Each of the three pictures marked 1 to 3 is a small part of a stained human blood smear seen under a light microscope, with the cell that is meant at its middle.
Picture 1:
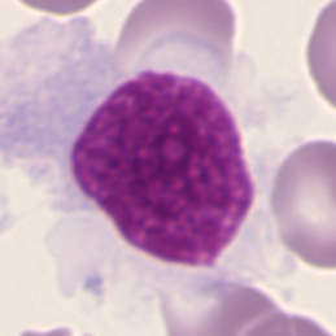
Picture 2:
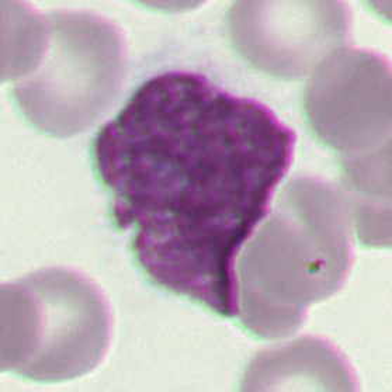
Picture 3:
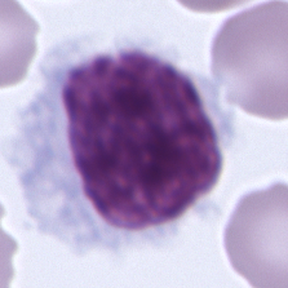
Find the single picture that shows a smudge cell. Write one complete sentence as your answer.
The picture with the smudge cell is 2.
